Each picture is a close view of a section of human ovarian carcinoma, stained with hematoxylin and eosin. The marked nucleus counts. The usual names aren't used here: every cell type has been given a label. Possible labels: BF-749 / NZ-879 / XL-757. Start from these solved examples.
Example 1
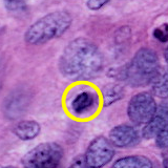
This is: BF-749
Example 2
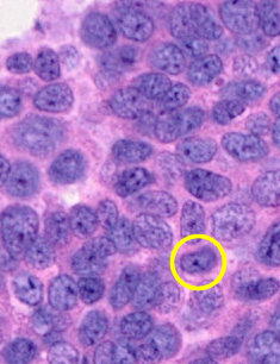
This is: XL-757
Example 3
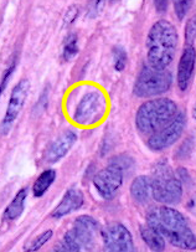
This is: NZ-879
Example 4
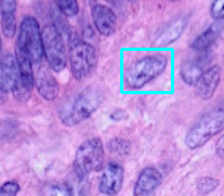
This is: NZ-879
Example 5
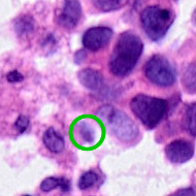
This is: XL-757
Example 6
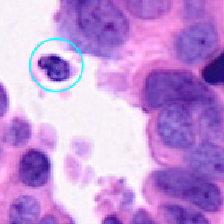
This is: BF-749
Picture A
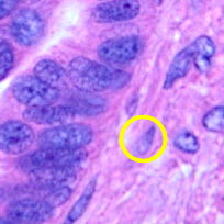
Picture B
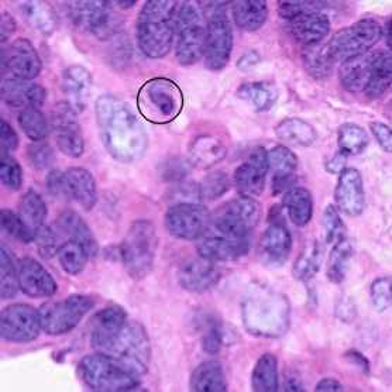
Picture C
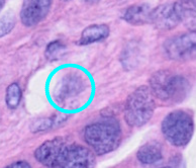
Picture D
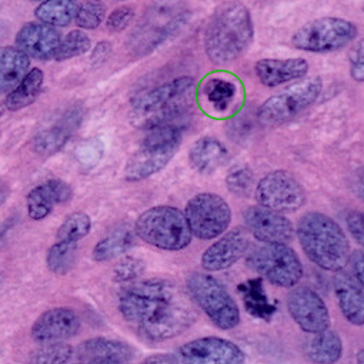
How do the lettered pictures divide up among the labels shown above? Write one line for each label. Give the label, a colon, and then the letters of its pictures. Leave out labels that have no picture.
BF-749: D
NZ-879: A, C
XL-757: B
